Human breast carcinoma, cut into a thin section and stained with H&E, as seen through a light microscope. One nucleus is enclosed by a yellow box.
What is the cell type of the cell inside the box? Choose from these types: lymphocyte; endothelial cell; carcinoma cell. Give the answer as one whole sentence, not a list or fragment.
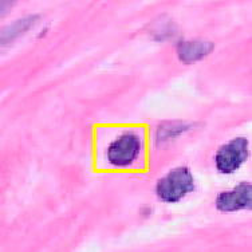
On this particular slide, the cell inside the box is a lymphocyte.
